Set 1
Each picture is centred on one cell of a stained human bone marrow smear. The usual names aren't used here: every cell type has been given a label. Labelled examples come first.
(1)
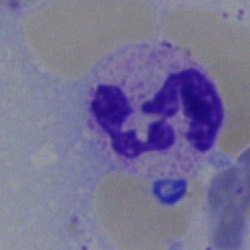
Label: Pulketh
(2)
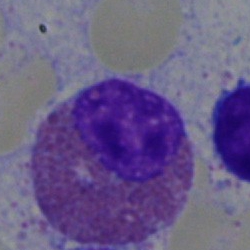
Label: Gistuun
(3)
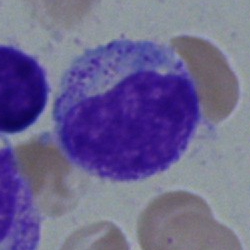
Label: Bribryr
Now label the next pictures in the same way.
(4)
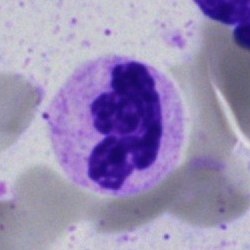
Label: Pulketh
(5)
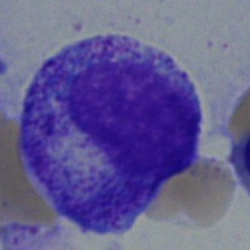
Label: Bribryr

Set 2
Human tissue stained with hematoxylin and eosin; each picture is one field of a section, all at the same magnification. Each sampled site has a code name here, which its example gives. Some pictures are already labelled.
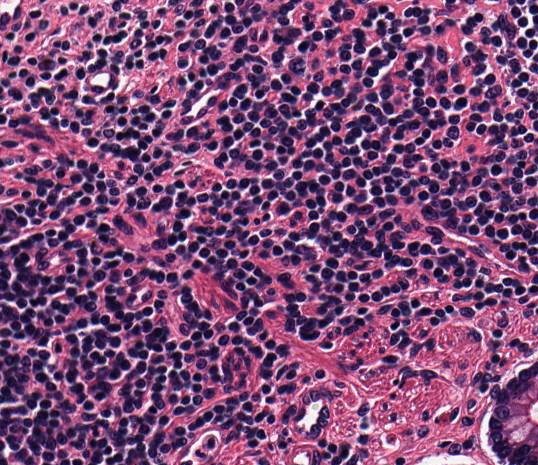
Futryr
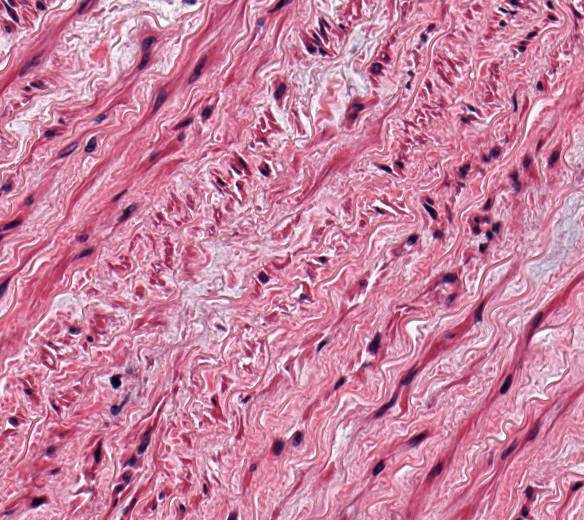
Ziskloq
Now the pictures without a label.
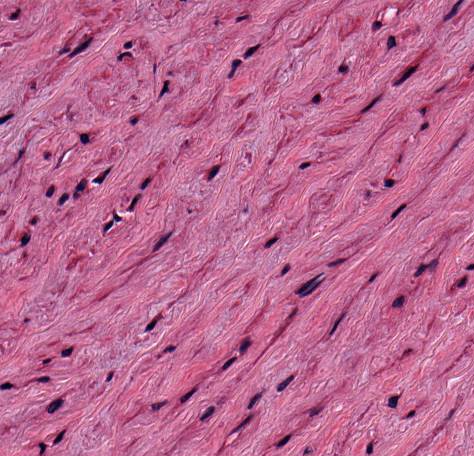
Ziskloq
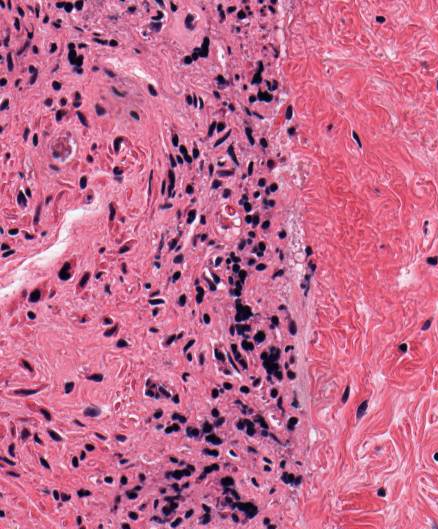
Futryr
